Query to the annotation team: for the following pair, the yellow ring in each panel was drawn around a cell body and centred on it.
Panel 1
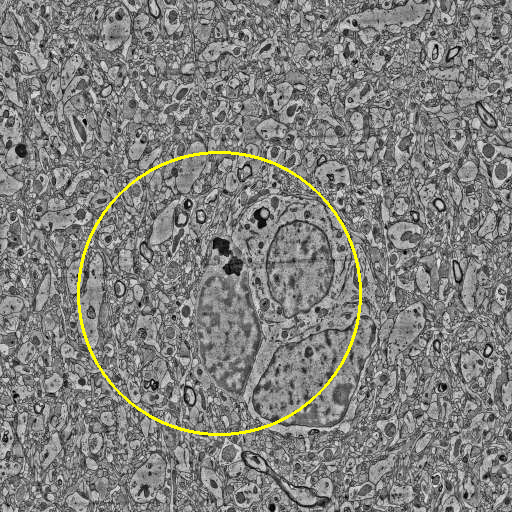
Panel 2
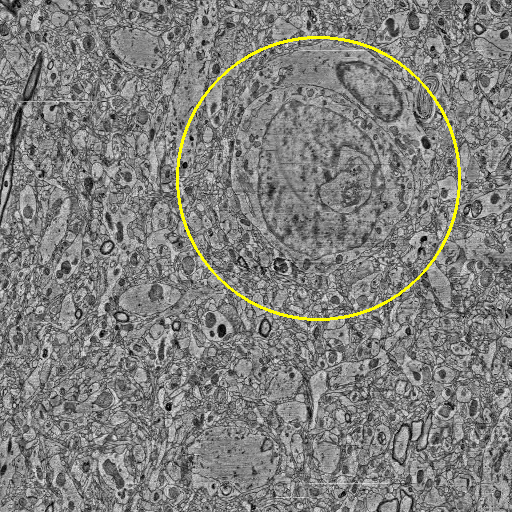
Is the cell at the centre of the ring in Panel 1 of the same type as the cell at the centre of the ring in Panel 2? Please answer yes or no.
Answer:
no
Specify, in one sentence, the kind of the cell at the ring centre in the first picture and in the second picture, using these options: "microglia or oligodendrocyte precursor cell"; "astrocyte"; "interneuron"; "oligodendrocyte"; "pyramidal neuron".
So the first is an oligodendrocyte, the second an interneuron.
